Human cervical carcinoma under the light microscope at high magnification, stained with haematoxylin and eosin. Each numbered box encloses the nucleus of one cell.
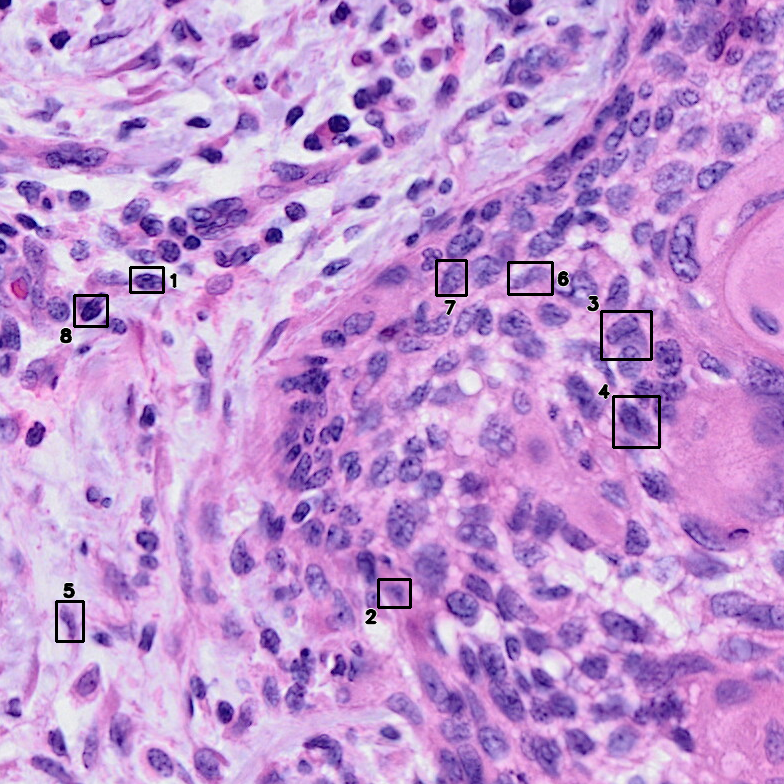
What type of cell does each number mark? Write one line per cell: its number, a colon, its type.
1: lymphocyte
2: squamous carcinoma cell
3: squamous carcinoma cell
4: squamous carcinoma cell
5: fibroblast
6: squamous carcinoma cell
7: squamous carcinoma cell
8: lymphocyte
